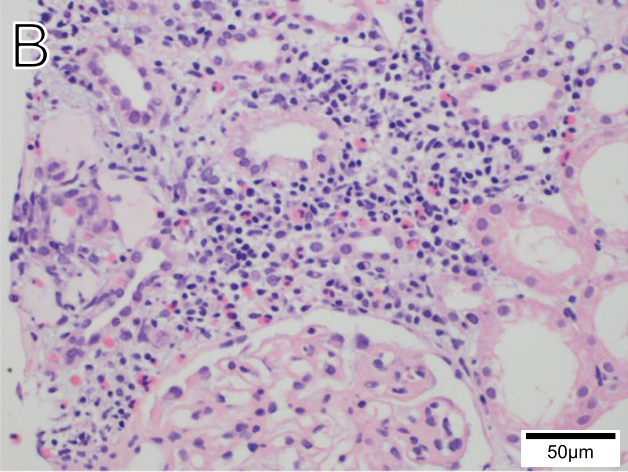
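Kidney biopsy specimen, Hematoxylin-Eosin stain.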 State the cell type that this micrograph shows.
Eosinophils.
